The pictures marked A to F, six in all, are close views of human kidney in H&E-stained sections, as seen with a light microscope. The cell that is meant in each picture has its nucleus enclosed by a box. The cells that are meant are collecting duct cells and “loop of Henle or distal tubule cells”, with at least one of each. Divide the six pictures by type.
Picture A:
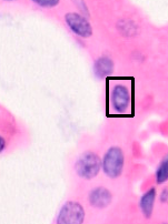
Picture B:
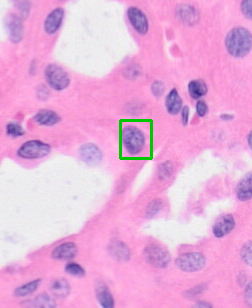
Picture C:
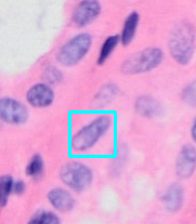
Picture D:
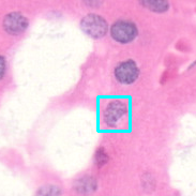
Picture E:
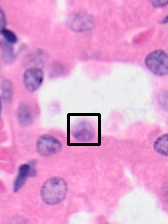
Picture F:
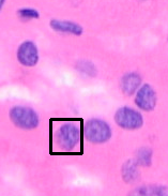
A: collecting duct cell
B: loop of Henle or distal tubule cell
C: collecting duct cell
D: loop of Henle or distal tubule cell
E: loop of Henle or distal tubule cell
F: collecting duct cell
